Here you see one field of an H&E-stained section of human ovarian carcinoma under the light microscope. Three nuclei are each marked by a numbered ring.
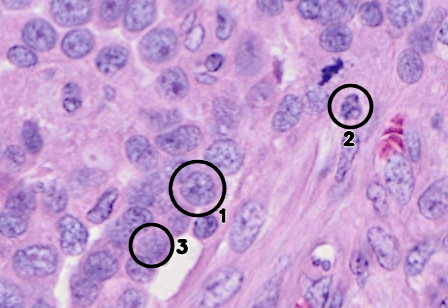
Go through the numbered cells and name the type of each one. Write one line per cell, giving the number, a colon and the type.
1: carcinoma cell
2: lymphocyte
3: carcinoma cell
